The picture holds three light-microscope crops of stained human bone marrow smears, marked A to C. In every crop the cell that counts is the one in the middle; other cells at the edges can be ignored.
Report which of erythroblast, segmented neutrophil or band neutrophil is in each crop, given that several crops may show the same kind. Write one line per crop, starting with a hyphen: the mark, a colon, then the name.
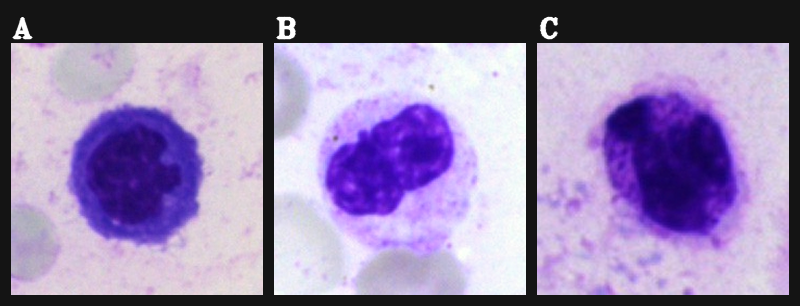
- A: erythroblast
- B: band neutrophil
- C: segmented neutrophil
